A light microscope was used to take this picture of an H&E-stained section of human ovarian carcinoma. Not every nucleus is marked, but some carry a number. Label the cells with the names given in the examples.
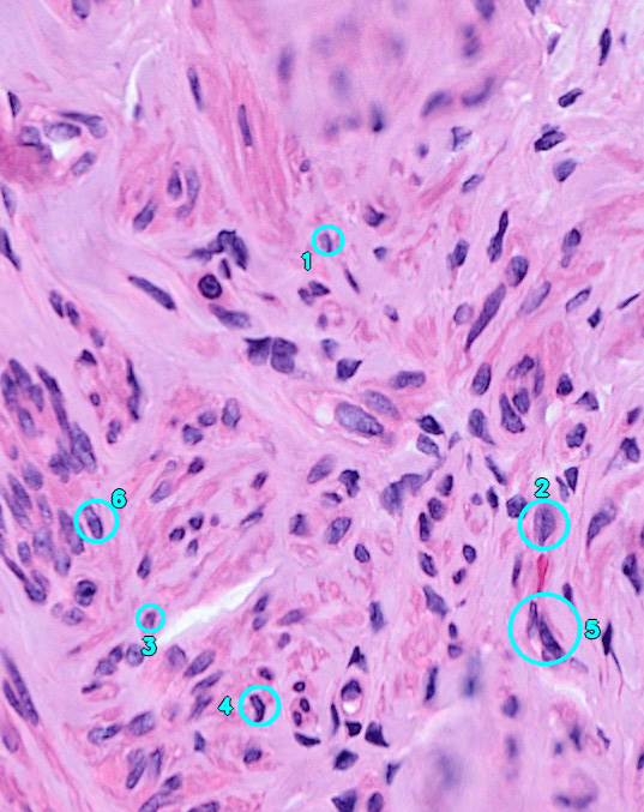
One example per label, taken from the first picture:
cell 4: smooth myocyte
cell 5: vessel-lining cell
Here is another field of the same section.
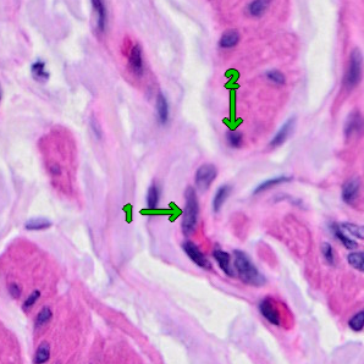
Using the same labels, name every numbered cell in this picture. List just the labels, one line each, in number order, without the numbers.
vessel-lining cell
smooth myocyte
